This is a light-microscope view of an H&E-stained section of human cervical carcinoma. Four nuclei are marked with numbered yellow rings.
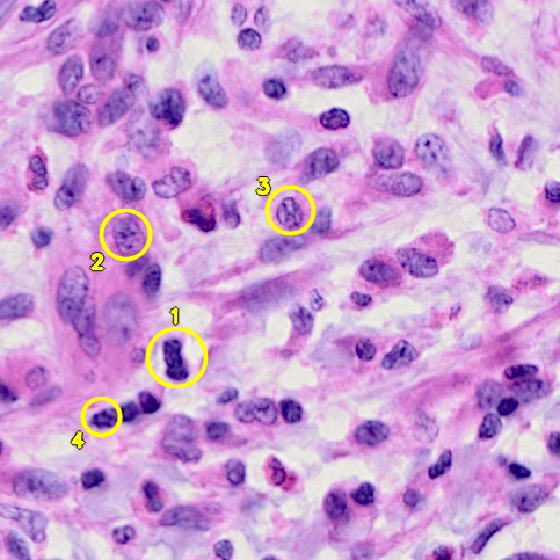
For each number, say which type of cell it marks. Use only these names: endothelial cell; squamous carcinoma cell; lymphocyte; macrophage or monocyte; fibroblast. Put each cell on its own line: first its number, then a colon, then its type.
1: lymphocyte
2: endothelial cell
3: macrophage or monocyte
4: lymphocyte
